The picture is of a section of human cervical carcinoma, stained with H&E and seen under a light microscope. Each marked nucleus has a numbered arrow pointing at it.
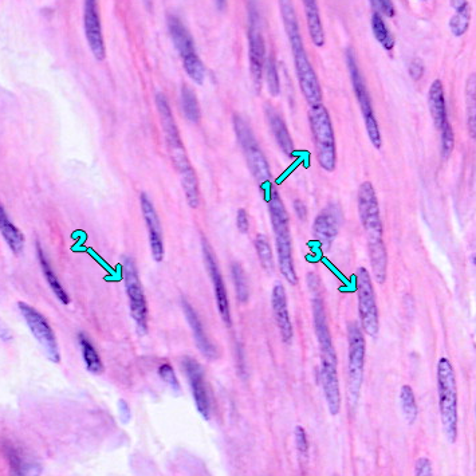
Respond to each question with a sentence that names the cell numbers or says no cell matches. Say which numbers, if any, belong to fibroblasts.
Unlike the other numbered cells, cell 2 is a fibroblast.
